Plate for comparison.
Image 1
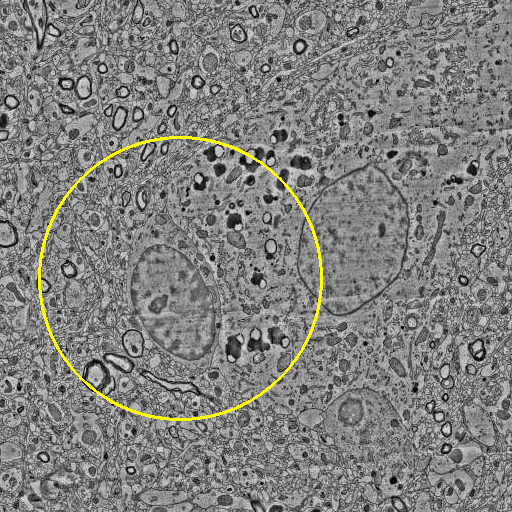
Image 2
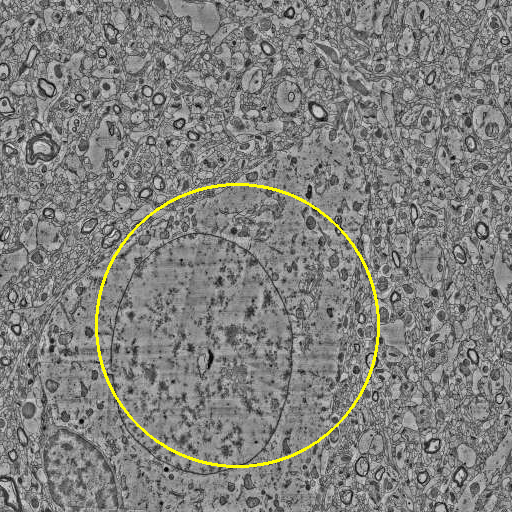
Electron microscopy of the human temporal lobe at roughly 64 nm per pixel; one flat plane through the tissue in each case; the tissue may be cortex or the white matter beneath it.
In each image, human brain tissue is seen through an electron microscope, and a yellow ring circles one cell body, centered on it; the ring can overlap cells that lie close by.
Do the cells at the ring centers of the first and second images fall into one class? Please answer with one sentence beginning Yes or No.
No, the first and second images show two classes of cell at the ring centers.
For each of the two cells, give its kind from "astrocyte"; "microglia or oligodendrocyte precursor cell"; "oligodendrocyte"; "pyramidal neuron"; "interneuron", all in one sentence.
The first picture has an oligodendrocyte in its ring, the second has a pyramidal neuron.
